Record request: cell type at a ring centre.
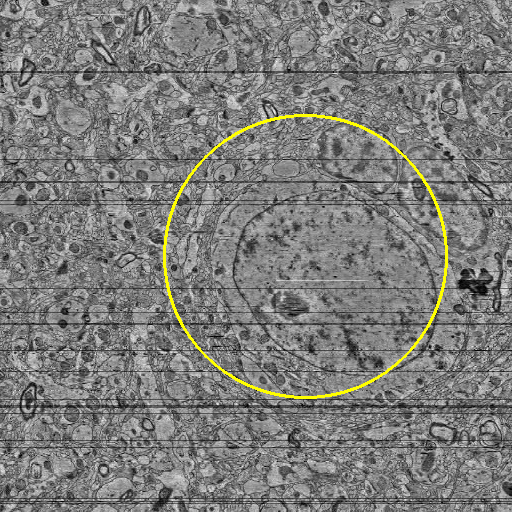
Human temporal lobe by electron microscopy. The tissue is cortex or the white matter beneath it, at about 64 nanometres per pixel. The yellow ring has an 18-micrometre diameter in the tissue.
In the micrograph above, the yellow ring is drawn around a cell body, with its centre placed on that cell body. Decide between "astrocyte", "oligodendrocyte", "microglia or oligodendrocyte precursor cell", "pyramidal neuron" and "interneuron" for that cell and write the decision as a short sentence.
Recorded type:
The cell centred in the yellow ring is a pyramidal neuron.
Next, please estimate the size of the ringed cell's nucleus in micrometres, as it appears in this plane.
In this plane the nucleus measures roughly 14 by 11 micrometres.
